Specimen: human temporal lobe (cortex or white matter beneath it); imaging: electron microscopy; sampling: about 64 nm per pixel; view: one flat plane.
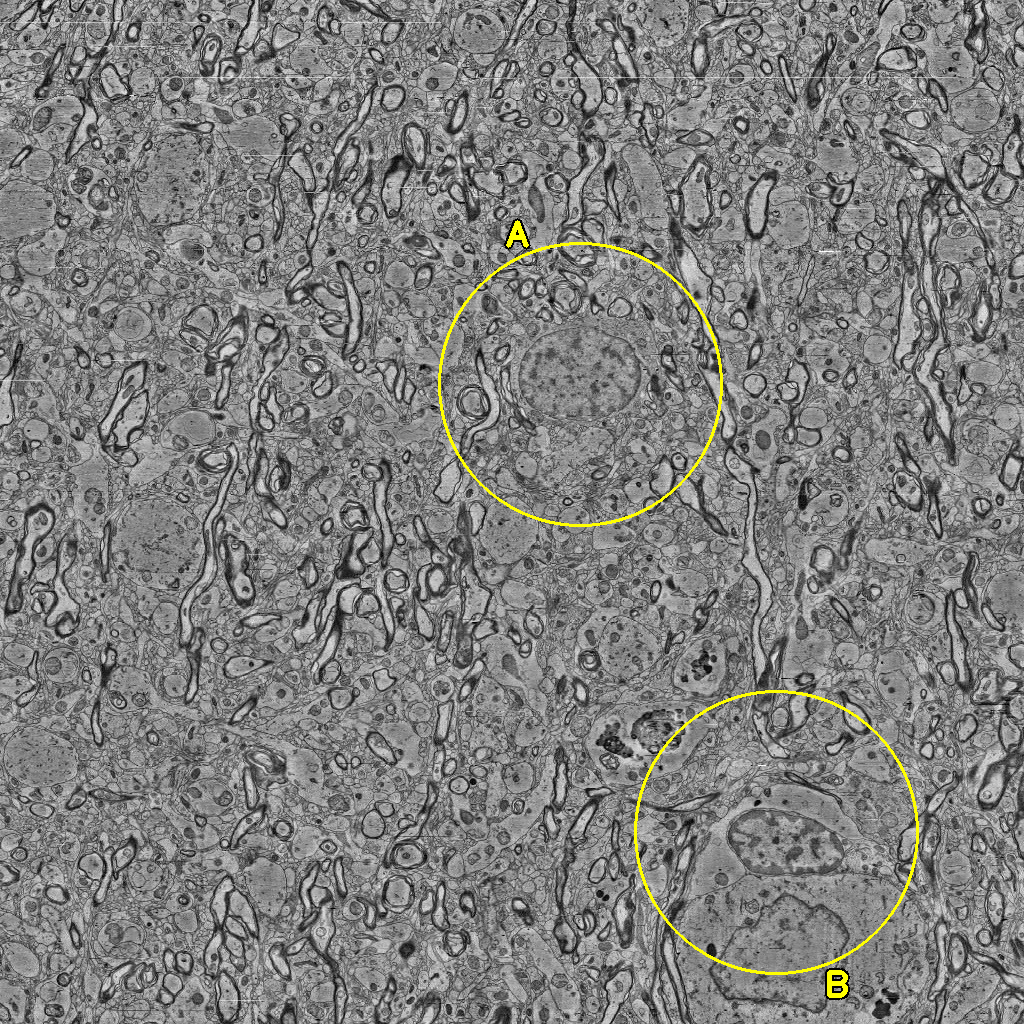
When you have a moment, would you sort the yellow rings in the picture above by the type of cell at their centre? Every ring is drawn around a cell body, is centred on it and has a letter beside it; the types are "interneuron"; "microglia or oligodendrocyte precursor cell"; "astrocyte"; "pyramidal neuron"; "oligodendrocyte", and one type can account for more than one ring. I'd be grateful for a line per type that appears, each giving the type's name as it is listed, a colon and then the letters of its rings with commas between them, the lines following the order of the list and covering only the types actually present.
microglia or oligodendrocyte precursor cell: B
oligodendrocyte: A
